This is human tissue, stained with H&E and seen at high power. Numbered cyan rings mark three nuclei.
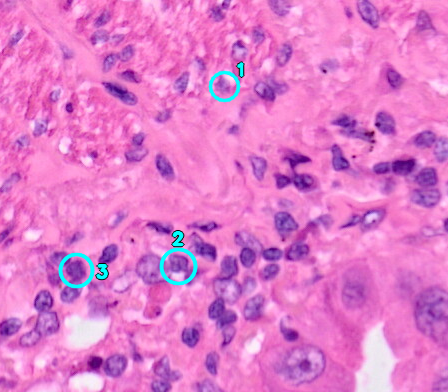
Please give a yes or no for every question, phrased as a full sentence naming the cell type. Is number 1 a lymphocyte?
No, cell 1 is not a lymphocyte; it is a smooth muscle cell or pericyte.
